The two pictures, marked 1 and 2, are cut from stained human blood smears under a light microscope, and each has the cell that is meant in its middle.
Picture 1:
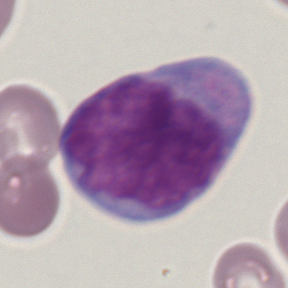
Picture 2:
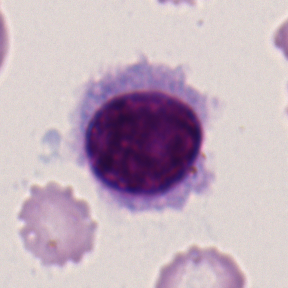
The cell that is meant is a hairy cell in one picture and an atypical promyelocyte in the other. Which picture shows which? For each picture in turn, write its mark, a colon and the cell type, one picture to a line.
1: atypical promyelocyte
2: hairy cell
